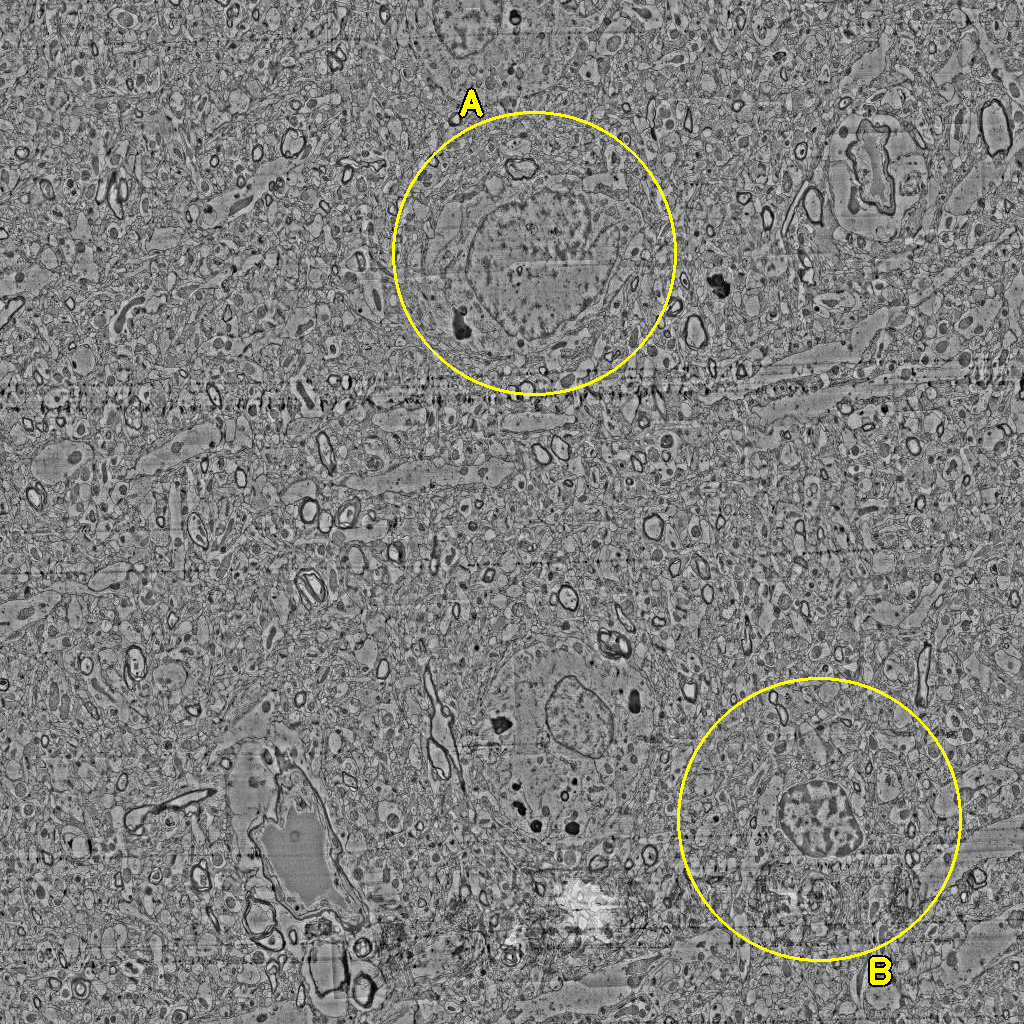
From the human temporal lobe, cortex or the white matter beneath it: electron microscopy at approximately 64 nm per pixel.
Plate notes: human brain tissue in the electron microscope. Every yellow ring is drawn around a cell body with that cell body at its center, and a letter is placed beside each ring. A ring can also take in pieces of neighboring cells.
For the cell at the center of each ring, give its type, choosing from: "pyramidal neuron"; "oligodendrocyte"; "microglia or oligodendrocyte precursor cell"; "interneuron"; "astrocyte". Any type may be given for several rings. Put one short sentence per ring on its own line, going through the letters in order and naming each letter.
Ring A shows an interneuron at the center.
Ring B shows a microglial cell or oligodendrocyte precursor cell at the center.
